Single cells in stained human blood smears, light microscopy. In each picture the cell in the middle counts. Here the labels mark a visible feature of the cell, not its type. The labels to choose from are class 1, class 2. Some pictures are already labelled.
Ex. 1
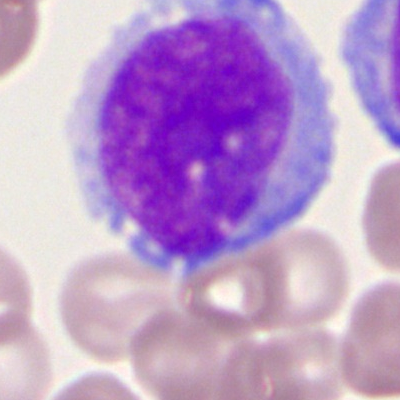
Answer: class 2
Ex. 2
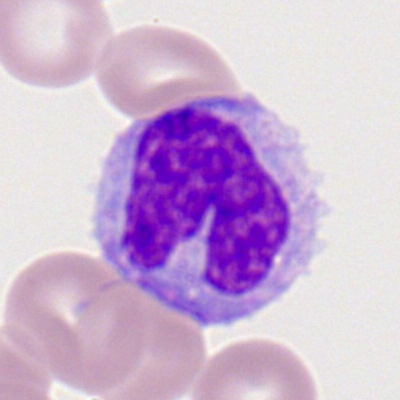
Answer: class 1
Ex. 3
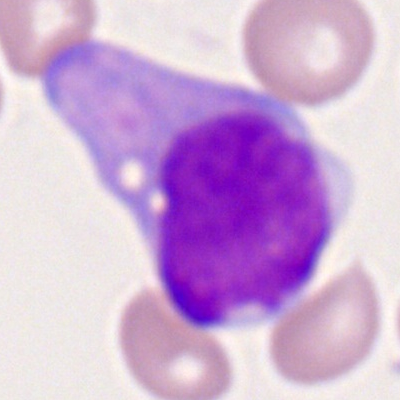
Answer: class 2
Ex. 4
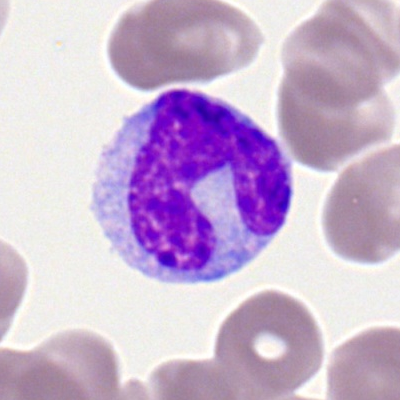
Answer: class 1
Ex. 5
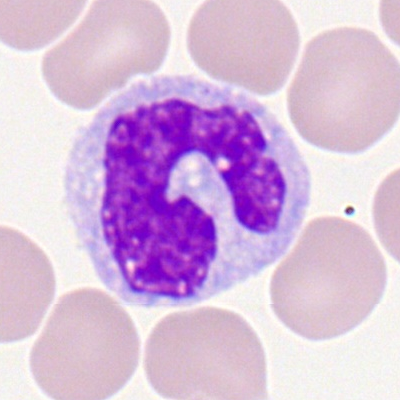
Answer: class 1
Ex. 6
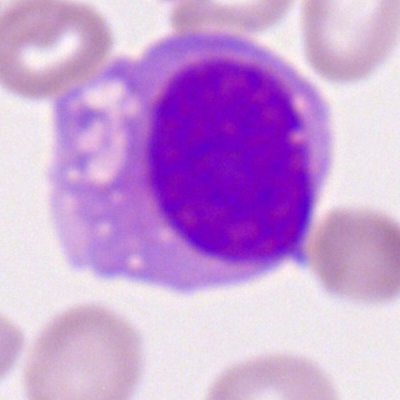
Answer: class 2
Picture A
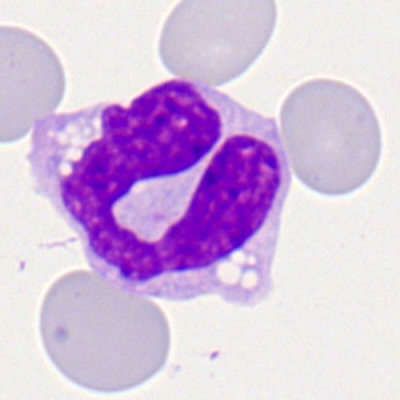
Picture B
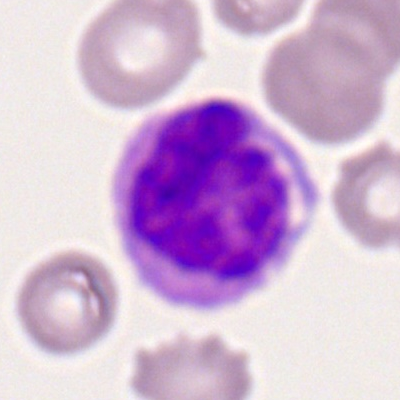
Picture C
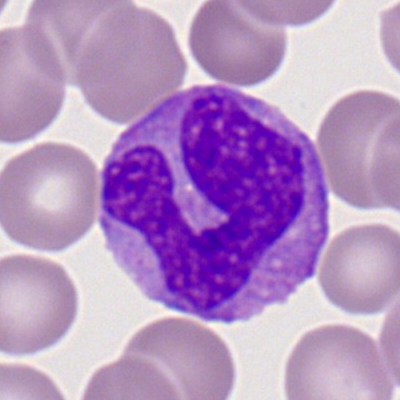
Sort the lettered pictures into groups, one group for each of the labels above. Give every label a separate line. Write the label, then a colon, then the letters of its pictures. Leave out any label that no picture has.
class 1: A, C
class 2: B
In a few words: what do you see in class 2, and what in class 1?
class 2, round or oval nucleus; class 1, band-shaped nucleus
